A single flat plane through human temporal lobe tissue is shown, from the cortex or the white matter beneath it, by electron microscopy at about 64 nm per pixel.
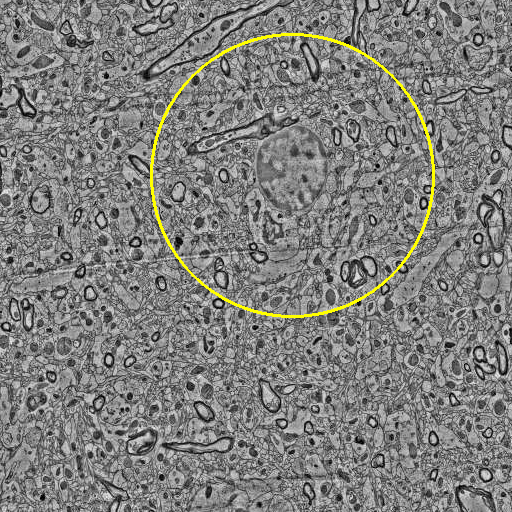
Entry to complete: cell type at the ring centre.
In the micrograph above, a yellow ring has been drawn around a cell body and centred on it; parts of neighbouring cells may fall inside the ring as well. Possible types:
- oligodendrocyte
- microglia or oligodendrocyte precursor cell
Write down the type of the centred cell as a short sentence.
The ring is centred on an oligodendrocyte.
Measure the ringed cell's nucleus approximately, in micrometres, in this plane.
Roughly 5 micrometres across, measured in this plane.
